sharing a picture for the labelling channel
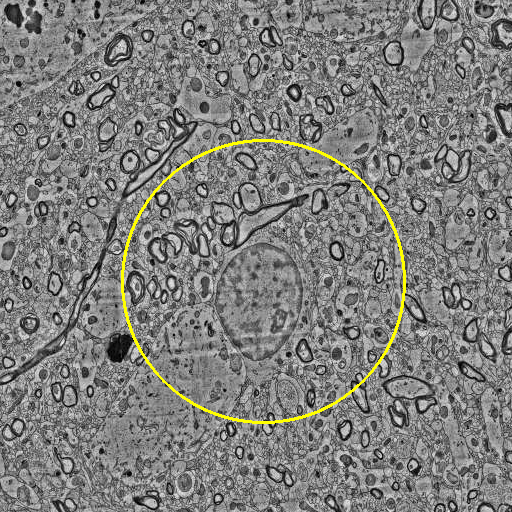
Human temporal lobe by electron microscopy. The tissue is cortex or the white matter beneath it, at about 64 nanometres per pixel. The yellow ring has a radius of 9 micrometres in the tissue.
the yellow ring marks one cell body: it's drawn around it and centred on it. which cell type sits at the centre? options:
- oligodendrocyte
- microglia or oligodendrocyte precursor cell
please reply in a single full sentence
In the picture, the cell at the ring's centre is an oligodendrocyte, going by the list.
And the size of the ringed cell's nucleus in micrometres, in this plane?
The ringed cell's nucleus is about 8 micrometres long and 6 micrometres wide in this plane.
